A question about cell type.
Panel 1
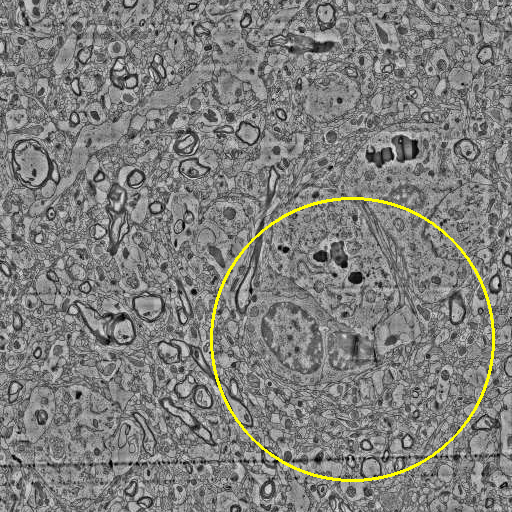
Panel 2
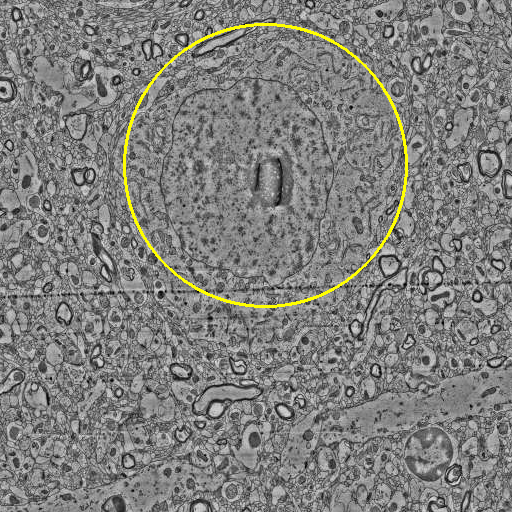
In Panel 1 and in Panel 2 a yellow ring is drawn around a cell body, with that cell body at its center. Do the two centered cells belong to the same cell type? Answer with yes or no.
no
